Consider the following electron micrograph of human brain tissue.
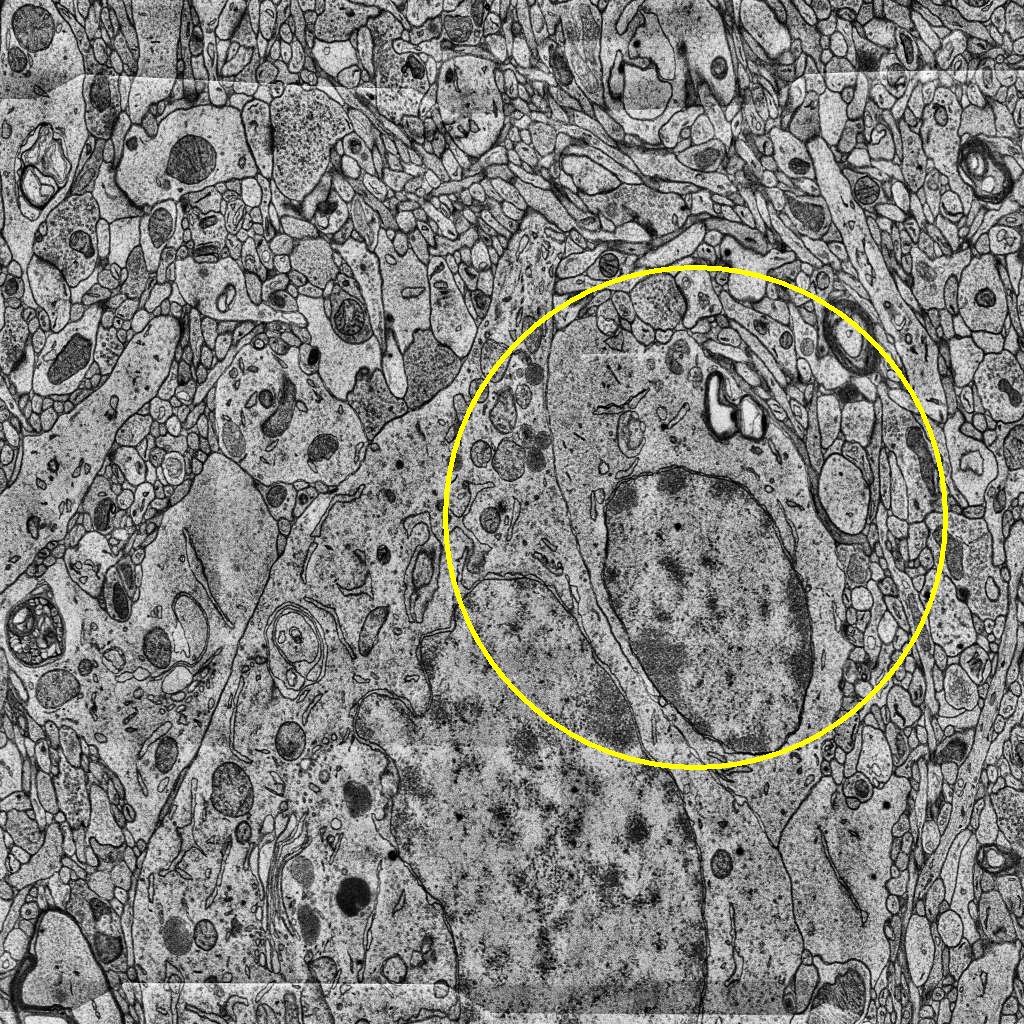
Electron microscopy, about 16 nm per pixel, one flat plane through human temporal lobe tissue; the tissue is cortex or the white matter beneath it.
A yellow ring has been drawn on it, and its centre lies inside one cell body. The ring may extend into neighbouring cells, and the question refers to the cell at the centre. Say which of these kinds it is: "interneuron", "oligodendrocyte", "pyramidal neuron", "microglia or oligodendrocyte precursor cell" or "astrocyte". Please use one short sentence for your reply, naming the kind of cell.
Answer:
The centre of the ring falls on a microglial cell or oligodendrocyte precursor cell.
